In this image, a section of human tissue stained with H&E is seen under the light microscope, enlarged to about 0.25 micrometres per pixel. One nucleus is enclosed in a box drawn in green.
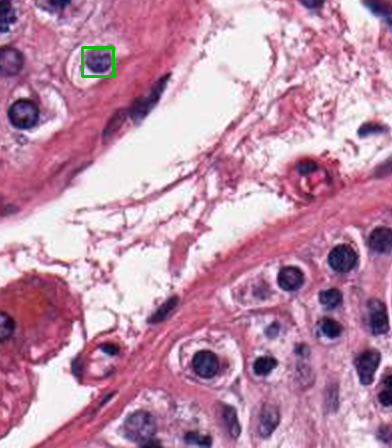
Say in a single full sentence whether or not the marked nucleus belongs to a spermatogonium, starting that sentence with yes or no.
Yes, the marked nucleus belongs to a spermatogonium.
